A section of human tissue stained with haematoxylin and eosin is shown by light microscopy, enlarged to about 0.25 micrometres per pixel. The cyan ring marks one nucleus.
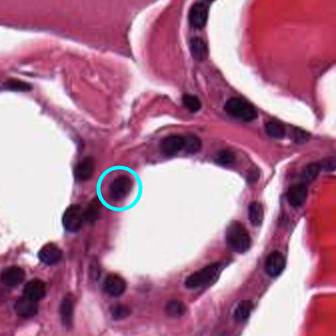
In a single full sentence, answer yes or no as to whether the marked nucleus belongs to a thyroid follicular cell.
Yes, the marked nucleus is part of a thyroid follicular cell.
